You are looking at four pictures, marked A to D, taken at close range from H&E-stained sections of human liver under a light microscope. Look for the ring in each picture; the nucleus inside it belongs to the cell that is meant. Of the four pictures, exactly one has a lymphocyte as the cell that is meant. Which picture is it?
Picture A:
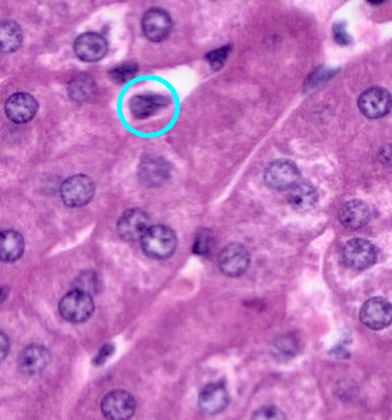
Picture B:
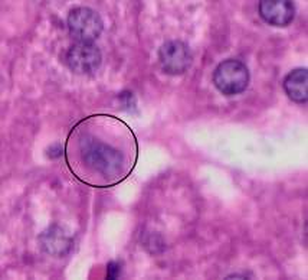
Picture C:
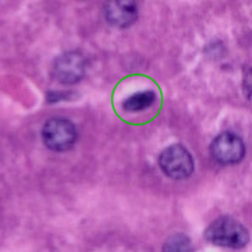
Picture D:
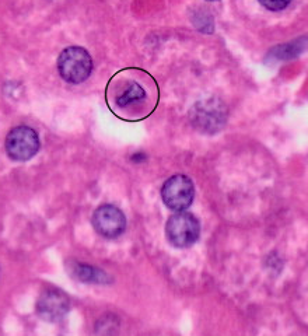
C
